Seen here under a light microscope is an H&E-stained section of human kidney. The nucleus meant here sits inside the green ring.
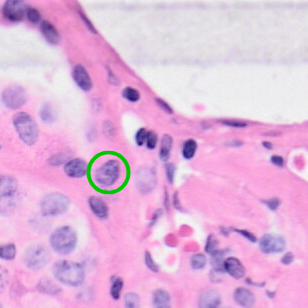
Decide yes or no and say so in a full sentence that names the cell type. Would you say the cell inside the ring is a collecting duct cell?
Yes, the cell inside the ring is a collecting duct cell; nothing to add.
